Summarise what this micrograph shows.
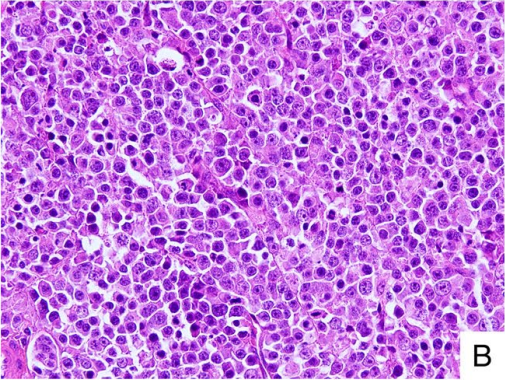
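Here the tumour is a solid sheet of large polygonal cells with sharply drawn borders. Each cell holds a round nucleus with a distinct dark nucleolus, often prominent. Around the nucleus lies a moderate amount of pink, eosinophilic cytoplasm, more than a thin rim. The cells lie side by side with little stroma between them.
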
